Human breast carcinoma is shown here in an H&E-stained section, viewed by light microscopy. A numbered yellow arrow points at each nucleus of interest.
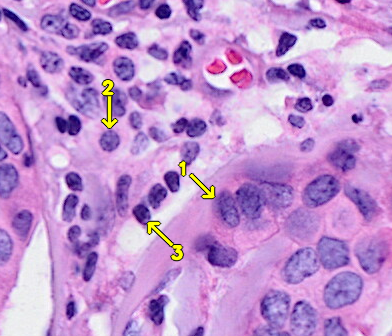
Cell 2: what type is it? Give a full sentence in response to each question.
In the marked set, the cell given number 2 is a mast cell.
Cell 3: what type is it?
The cell tagged with 3 in this tissue section is a lymphocyte.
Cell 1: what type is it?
Within this field of view, the cell labelled 1 is a carcinoma cell.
